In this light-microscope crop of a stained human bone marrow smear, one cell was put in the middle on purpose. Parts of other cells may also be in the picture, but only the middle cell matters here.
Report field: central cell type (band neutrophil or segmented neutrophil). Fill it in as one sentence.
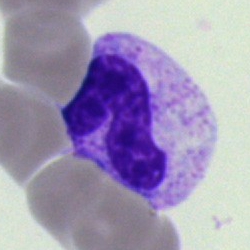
The cell featured at the centre of this crop is a band neutrophil.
